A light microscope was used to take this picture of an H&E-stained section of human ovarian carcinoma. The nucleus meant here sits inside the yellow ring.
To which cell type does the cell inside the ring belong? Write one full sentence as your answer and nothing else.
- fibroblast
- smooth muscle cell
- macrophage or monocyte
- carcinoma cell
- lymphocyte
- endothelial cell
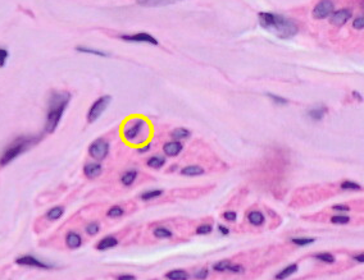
The classification of the cell inside the ring is as a smooth muscle cell.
